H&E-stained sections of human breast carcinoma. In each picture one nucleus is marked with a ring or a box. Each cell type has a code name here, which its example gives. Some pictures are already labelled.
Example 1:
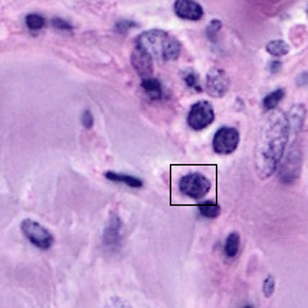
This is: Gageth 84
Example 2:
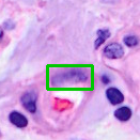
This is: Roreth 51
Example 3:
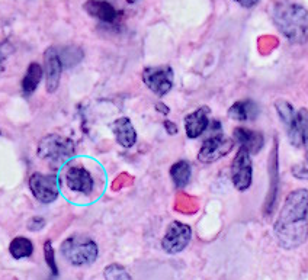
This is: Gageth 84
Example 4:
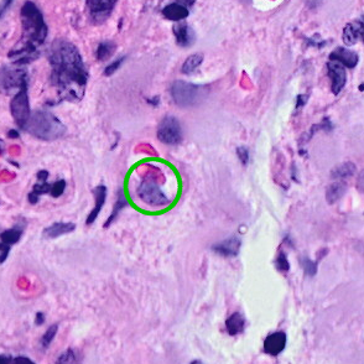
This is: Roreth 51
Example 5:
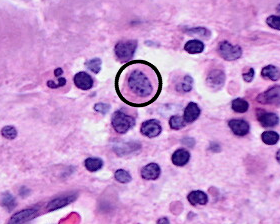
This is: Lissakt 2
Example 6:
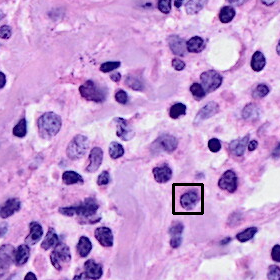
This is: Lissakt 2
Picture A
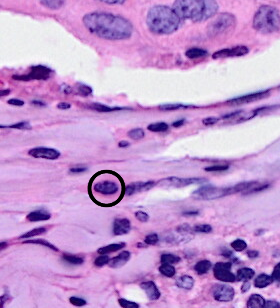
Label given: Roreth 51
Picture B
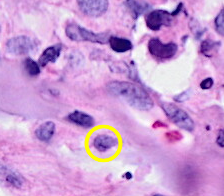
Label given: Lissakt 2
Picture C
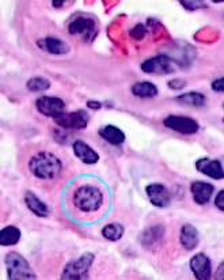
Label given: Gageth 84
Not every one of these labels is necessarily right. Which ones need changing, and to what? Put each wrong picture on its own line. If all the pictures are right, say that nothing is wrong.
A should be Lissakt 2, not Roreth 51
C should be Lissakt 2, not Gageth 84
